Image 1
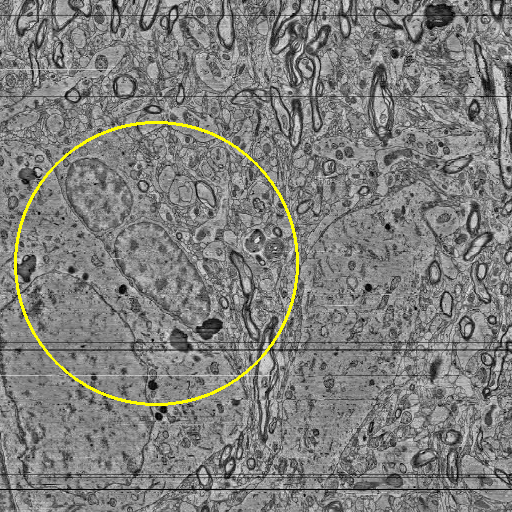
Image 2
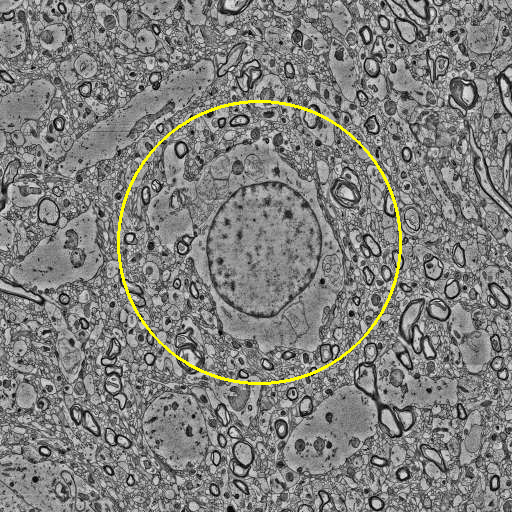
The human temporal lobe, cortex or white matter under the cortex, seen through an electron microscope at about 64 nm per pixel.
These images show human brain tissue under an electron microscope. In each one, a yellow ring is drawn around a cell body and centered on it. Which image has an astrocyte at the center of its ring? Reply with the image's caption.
Image 2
